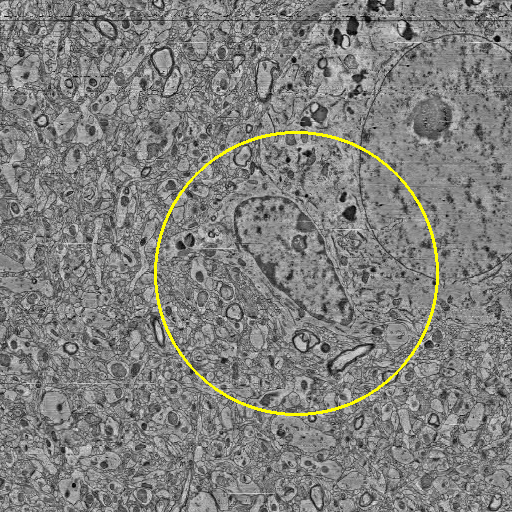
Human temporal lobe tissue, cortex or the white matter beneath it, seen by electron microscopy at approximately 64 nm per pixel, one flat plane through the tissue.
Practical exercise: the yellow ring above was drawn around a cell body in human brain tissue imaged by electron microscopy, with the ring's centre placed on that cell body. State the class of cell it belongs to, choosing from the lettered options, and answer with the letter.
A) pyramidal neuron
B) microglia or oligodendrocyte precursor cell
B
